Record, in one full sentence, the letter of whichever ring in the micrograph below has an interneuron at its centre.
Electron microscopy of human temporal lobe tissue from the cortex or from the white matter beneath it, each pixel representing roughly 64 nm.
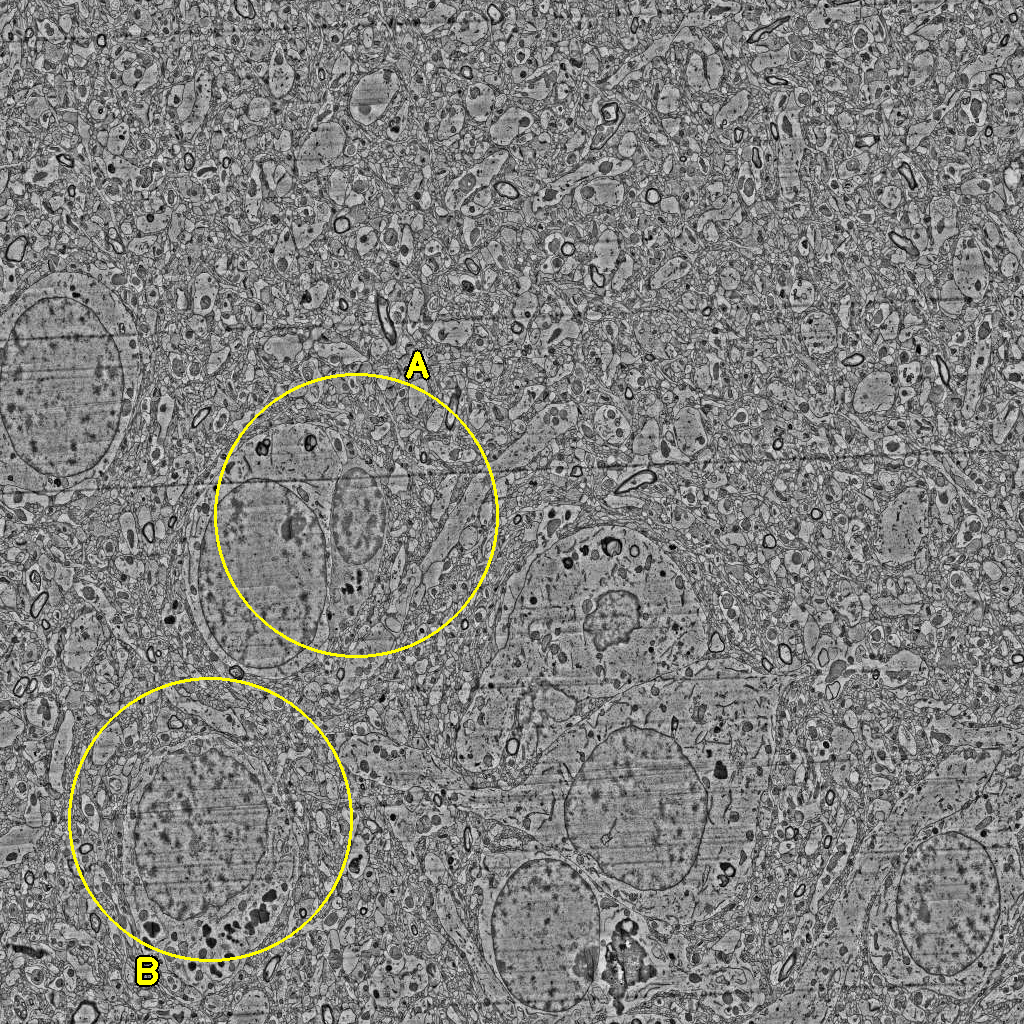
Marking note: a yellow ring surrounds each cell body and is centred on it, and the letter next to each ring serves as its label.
For the cell asked for, the ring centred on it carries the letter B.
